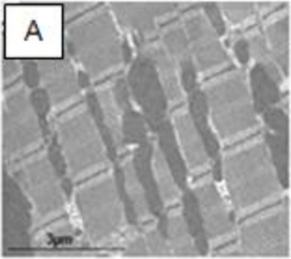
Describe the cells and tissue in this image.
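This electron micrograph of heart muscle shows cardiomyocyte myofibrils cut lengthwise, with regularly spaced Z-lines dividing them into sarcomeres. Between the myofibrils lie rows of dark, densely packed mitochondria, oval to elongated in outline and aligned along the fibres. The mitochondria are compact and their matrix appears uniformly dark, with little empty space around them.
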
